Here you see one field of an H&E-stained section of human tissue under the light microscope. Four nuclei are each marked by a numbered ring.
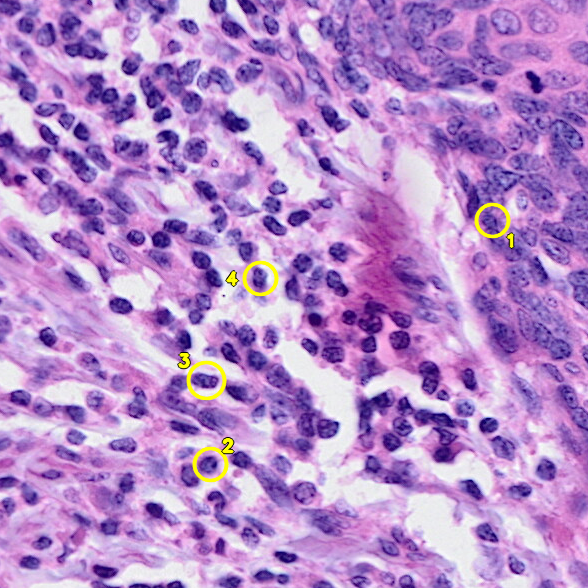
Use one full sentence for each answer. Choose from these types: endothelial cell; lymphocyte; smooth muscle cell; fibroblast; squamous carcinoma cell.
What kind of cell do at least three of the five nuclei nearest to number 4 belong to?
Lymphocytes account for more than half of the five nuclei nearest to number 4.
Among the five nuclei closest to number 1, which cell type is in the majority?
Squamous carcinoma cells make up most of the five nuclei closest to number 1.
